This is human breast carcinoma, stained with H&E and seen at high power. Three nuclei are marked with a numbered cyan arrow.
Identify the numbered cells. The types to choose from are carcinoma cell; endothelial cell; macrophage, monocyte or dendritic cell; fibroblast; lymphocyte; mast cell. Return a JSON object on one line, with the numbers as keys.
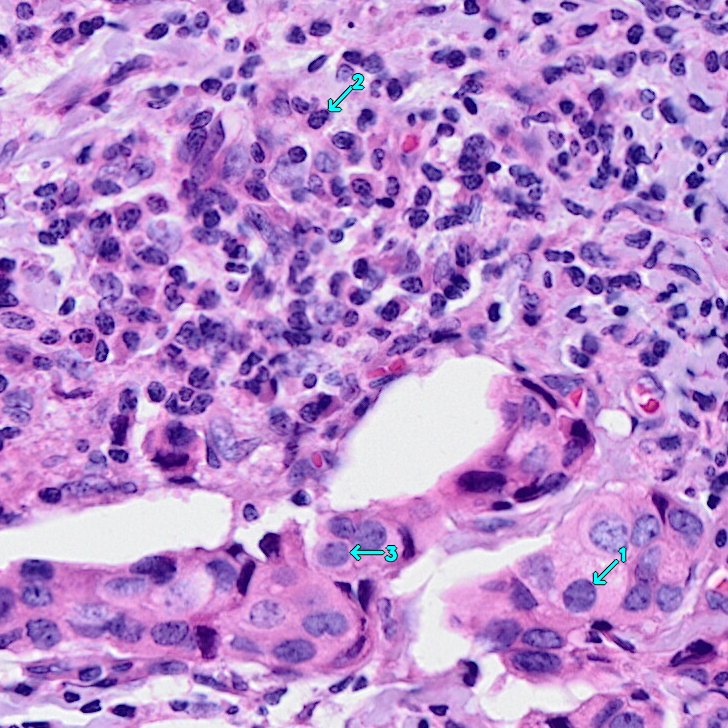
{"1": "carcinoma cell", "2": "lymphocyte", "3": "carcinoma cell"}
